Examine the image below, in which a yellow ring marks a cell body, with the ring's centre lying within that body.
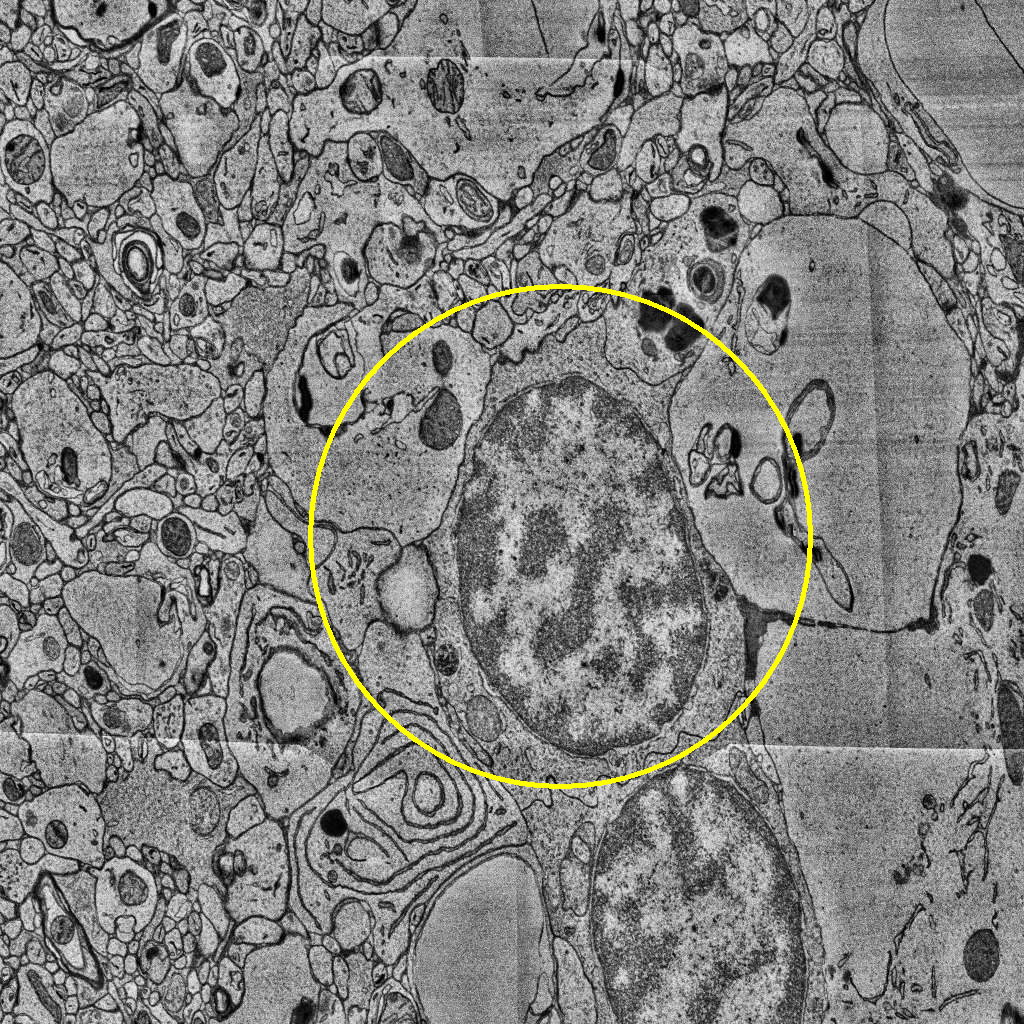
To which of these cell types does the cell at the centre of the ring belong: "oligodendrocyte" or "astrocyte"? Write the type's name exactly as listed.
oligodendrocyte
